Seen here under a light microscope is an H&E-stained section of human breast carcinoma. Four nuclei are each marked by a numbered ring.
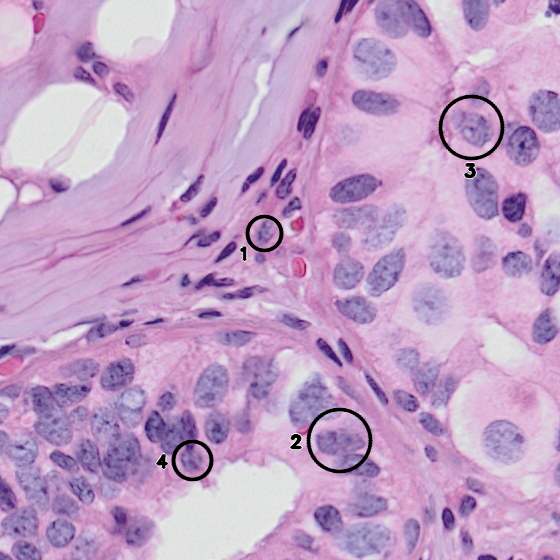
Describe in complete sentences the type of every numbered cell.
Cell 1 is an endothelial cell, cell 2 is a carcinoma cell, cell 3 is a carcinoma cell and cell 4 is a carcinoma cell.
